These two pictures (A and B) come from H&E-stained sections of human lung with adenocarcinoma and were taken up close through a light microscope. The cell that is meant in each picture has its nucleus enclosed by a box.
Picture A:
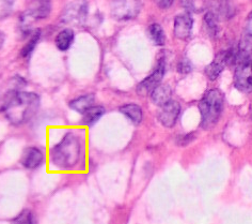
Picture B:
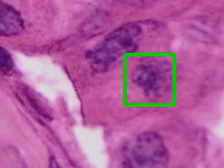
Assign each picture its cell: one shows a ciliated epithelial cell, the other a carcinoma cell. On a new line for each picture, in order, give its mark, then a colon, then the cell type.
A: ciliated epithelial cell
B: carcinoma cell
